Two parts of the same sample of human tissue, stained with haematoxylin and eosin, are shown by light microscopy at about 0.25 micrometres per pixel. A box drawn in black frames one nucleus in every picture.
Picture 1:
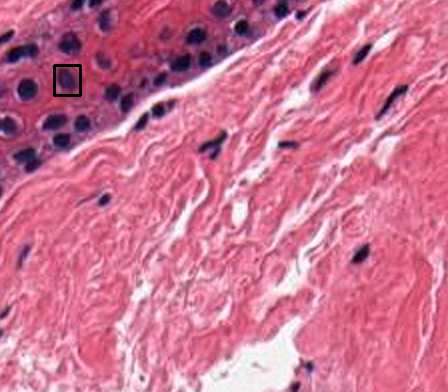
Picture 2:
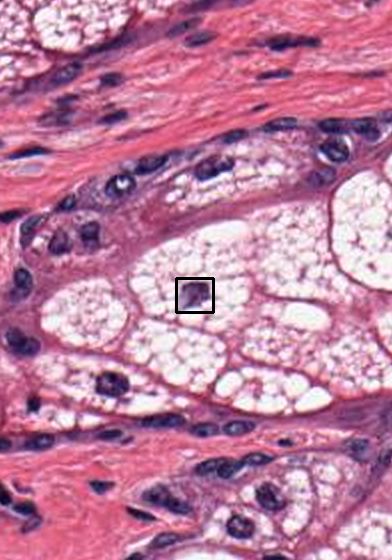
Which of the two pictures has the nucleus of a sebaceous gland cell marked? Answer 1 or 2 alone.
2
